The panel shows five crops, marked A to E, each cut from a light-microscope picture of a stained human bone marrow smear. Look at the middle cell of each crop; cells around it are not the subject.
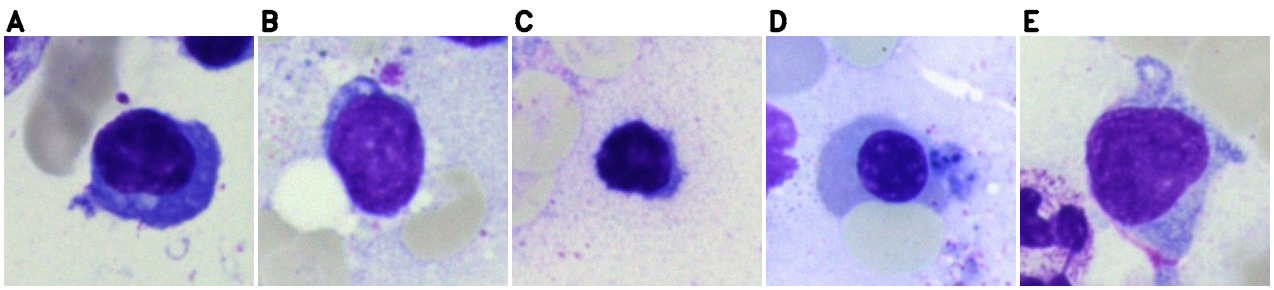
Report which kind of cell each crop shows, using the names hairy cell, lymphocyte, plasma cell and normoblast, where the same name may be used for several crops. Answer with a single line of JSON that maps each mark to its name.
{"A": "plasma cell", "B": "lymphocyte", "C": "lymphocyte", "D": "normoblast", "E": "hairy cell"}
